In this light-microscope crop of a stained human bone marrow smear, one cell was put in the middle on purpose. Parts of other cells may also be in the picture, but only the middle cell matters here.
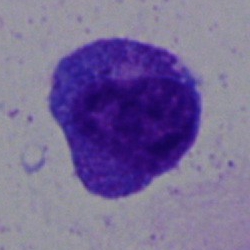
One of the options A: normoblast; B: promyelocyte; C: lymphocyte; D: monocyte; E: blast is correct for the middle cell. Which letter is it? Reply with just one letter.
B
